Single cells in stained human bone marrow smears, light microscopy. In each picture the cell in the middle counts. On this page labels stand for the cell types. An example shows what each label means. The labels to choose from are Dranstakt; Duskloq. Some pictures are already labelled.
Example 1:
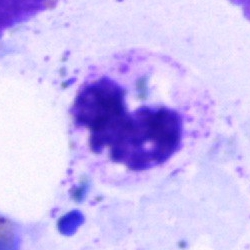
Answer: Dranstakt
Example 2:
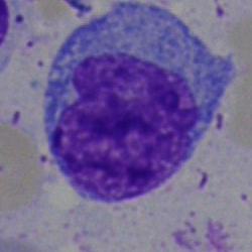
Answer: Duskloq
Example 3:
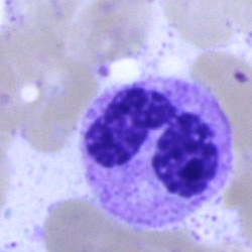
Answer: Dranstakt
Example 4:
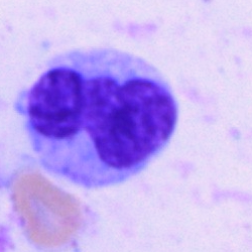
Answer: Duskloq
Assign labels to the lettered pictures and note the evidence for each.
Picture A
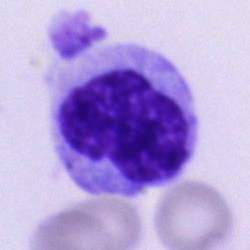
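Duskloq. Reason: The nucleus is large and fills most of the cell.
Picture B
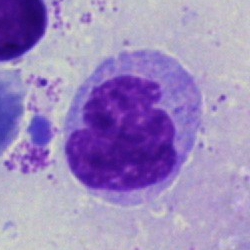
Duskloq. Reason: The nucleus fills most of the cell and sits toward the lower left.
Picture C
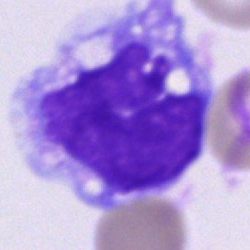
Duskloq. Reason: The nucleus is large and irregular in shape and fills most of the cell.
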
